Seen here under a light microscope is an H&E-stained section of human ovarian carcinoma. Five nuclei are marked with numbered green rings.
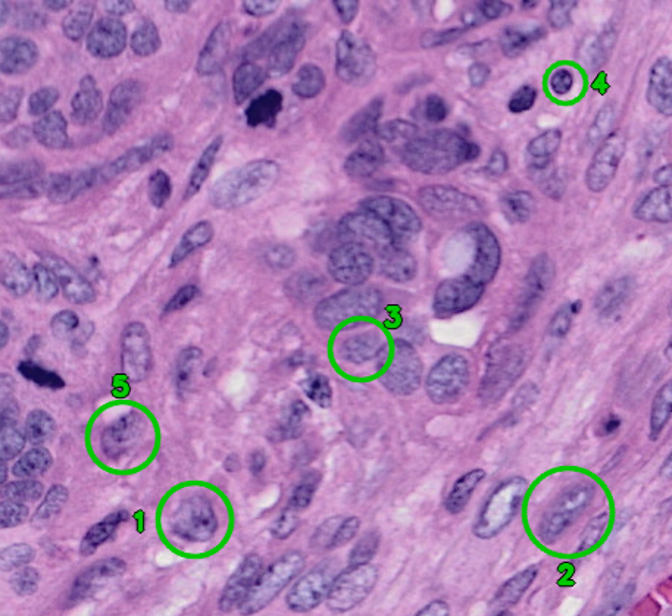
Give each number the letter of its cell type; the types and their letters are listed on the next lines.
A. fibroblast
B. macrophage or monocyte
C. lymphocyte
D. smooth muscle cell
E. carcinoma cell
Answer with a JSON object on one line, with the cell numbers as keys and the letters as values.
{"1": "A", "2": "A", "3": "E", "4": "C", "5": "A"}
